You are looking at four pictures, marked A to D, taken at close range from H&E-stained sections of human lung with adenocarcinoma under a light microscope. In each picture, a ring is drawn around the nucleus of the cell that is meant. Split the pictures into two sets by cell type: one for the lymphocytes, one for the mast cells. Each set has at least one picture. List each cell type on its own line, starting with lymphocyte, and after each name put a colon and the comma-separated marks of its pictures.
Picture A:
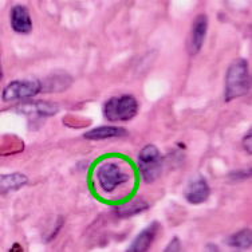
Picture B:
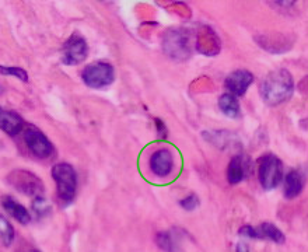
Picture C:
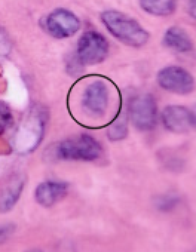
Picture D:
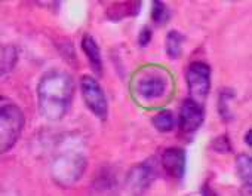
lymphocyte: A, D
mast cell: B, C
